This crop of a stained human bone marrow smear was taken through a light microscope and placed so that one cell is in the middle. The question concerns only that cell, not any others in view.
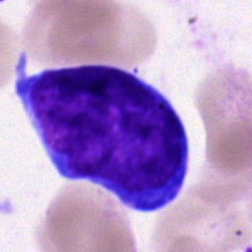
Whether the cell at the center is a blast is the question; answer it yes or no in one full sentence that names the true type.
Yes, the cell at the center of the crop is a blast.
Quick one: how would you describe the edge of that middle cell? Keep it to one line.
The cell margin is rough and uneven, either ragged or drawn into projections.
